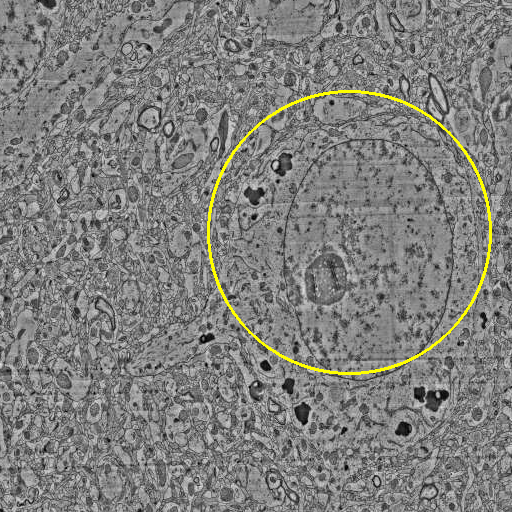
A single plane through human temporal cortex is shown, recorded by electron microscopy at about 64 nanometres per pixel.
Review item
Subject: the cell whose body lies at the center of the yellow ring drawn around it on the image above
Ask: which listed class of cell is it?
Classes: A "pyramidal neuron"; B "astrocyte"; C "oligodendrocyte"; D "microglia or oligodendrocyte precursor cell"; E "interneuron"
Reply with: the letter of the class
A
